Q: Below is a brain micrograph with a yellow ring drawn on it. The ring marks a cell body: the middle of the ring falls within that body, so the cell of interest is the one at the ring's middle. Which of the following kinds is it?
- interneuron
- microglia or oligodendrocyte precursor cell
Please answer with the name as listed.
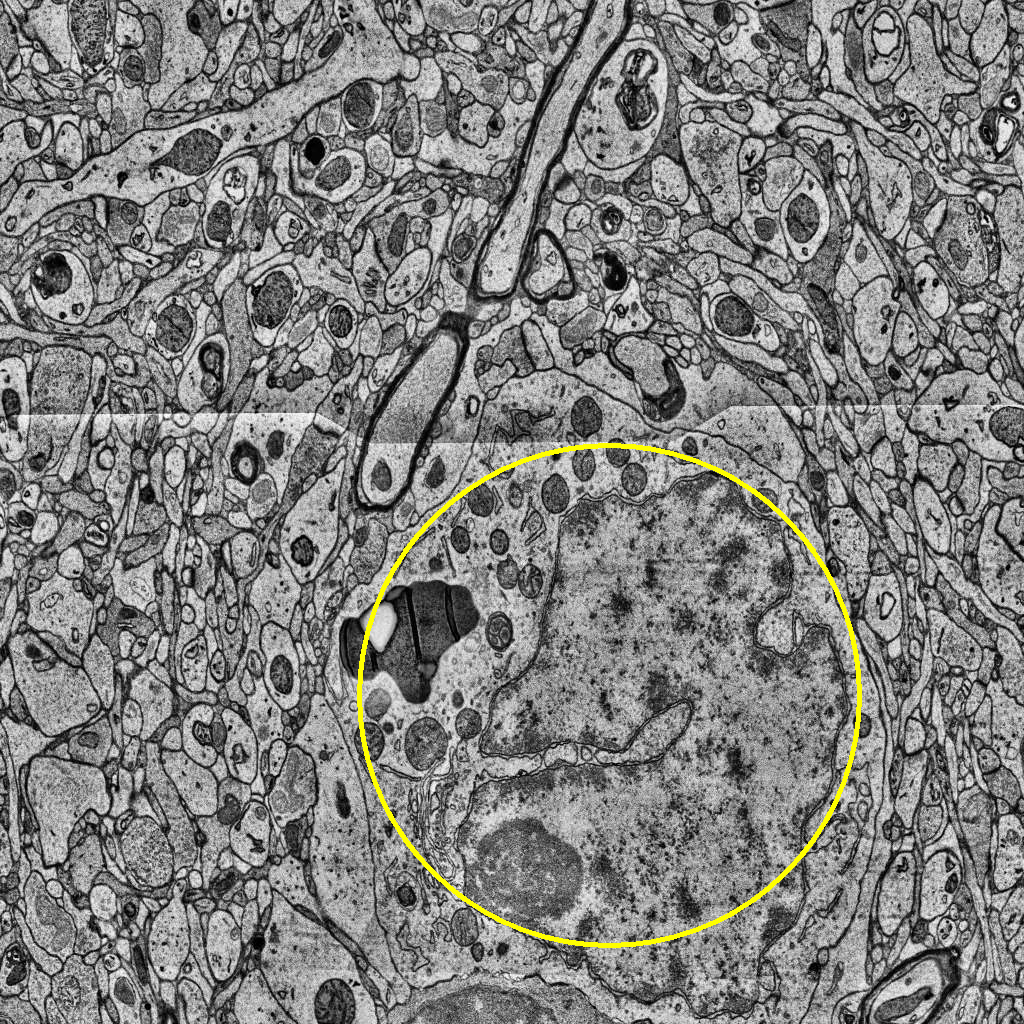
interneuron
